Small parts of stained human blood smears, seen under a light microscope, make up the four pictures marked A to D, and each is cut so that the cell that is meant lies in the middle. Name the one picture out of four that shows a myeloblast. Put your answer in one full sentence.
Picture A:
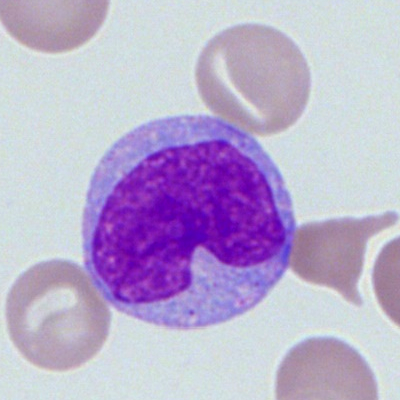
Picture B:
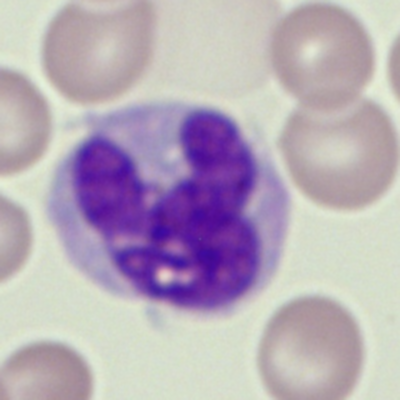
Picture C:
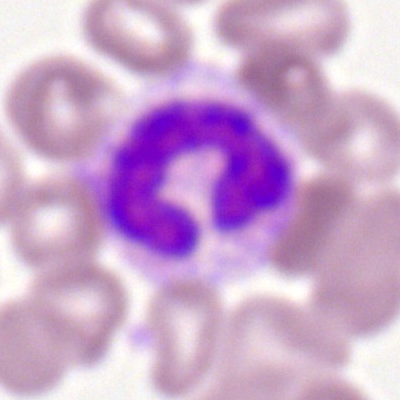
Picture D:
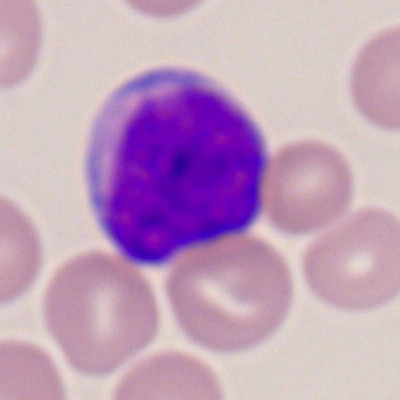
The myeloblast is the one in picture D.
